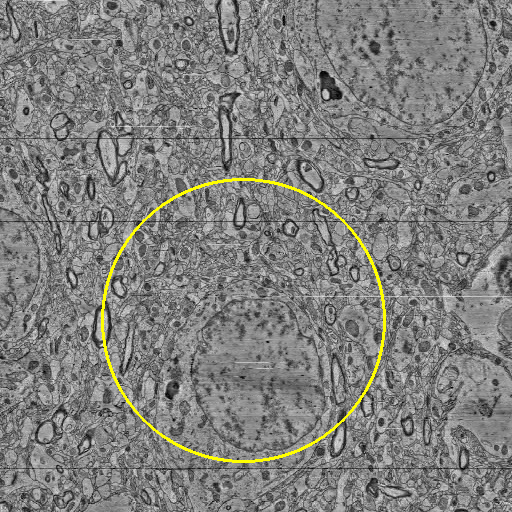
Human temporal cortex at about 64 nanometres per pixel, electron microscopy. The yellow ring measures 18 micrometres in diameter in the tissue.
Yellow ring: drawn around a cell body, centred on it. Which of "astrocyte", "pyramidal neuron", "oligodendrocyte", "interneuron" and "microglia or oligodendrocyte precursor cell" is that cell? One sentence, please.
That cell body is from a pyramidal neuron.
